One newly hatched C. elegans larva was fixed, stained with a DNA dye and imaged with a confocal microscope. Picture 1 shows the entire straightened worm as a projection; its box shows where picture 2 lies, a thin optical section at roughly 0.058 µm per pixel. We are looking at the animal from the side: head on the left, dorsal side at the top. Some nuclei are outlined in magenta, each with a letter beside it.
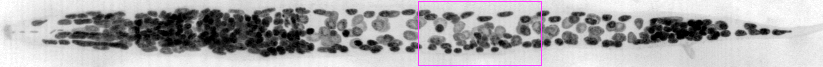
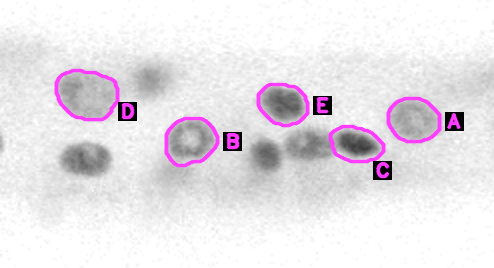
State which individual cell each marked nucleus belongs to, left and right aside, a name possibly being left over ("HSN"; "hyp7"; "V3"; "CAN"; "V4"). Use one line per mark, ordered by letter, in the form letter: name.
A: V4
B: V3
C: HSN
D: hyp7
E: CAN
